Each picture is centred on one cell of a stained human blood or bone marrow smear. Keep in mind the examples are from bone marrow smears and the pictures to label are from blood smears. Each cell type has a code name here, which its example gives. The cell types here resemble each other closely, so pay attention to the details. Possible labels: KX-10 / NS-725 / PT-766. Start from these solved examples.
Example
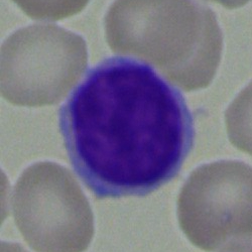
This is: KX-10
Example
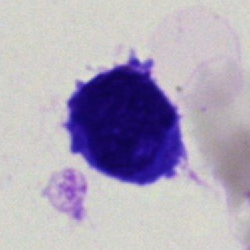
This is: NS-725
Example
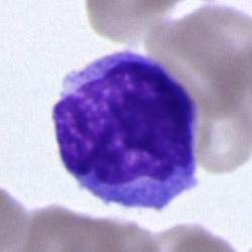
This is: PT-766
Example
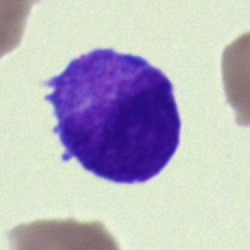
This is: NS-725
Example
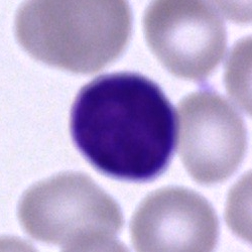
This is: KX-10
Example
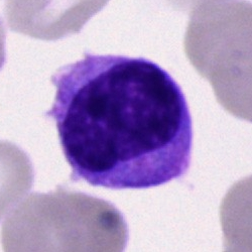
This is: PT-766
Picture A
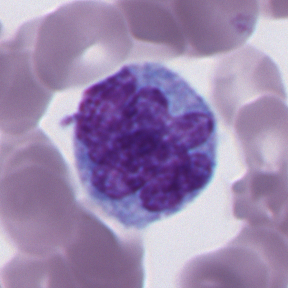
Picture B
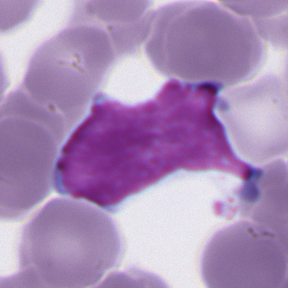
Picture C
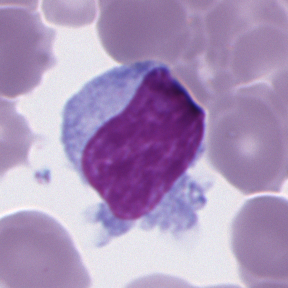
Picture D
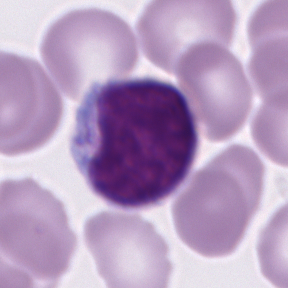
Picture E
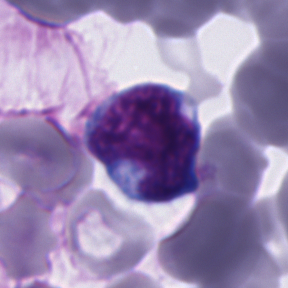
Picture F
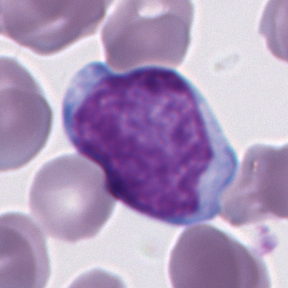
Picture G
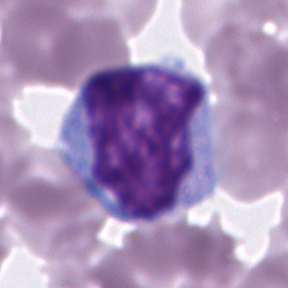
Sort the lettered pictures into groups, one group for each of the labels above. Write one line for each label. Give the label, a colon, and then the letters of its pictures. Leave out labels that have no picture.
KX-10: B, C, D, E
NS-725: F
PT-766: A, G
